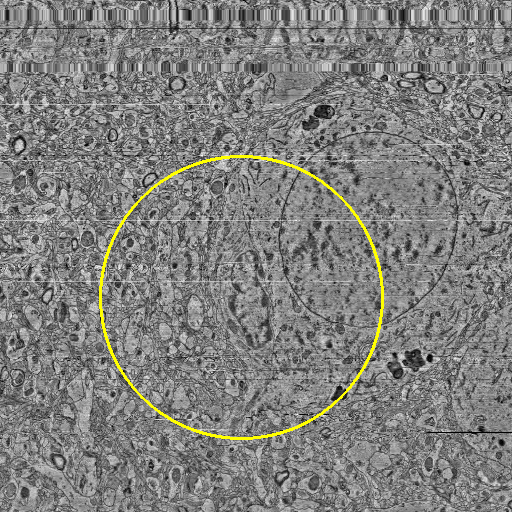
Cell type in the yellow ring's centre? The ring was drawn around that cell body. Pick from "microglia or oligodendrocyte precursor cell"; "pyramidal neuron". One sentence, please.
The ringed cell body is that of a microglial cell or oligodendrocyte precursor cell.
